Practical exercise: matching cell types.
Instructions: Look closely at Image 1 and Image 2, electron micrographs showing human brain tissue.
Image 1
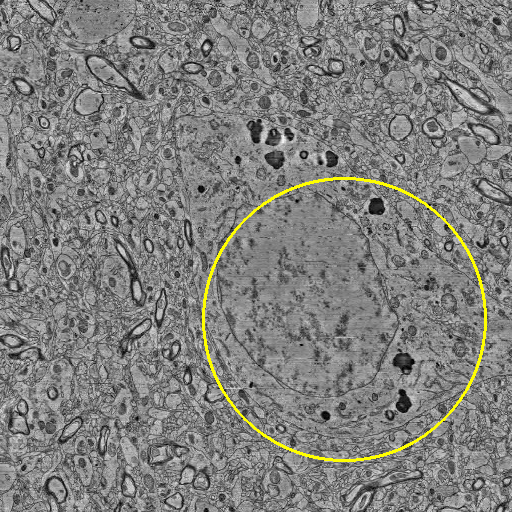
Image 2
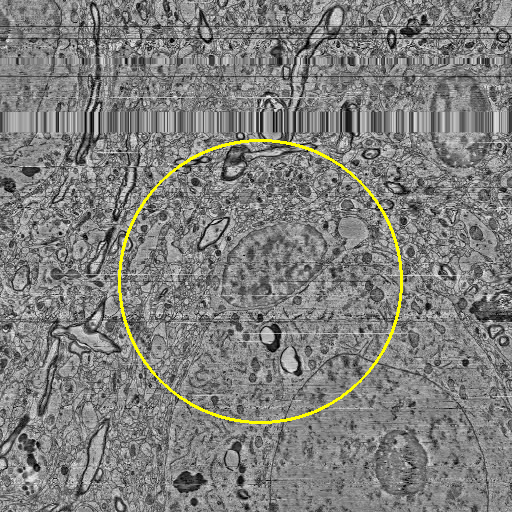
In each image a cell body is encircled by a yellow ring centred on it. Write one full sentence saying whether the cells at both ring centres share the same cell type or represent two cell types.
Across Image 1 and Image 2, the cells at the ring centres represent two cell types.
